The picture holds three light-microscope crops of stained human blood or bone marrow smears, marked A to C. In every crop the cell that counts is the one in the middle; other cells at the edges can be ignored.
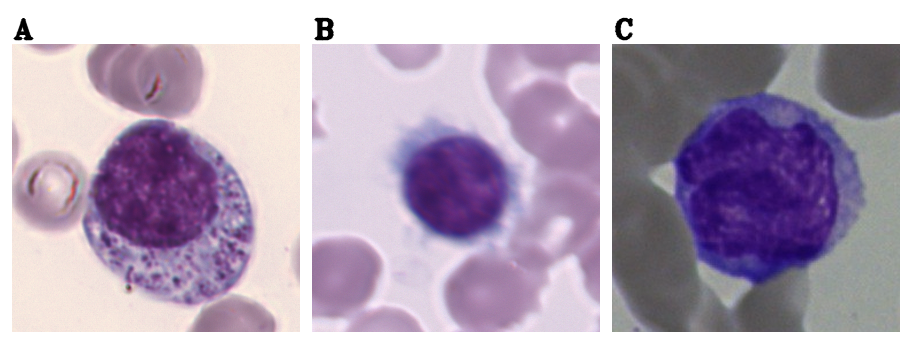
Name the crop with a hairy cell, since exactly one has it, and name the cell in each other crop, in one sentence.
Crop B is recognised as a hairy cell, whereas crop A is a myelocyte and crop C is a monocyte.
